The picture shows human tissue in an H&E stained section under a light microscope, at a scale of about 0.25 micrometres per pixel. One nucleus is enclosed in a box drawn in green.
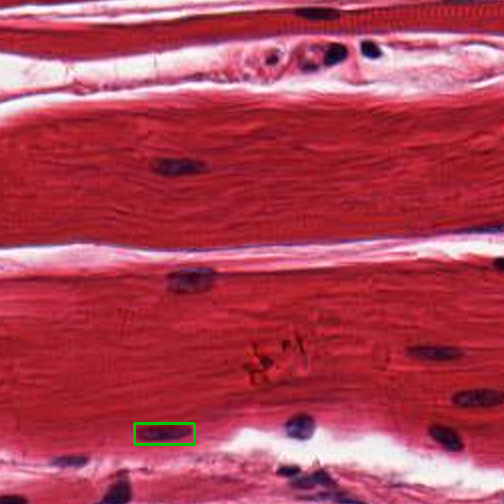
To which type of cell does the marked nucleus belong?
skeletal muscle fibre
